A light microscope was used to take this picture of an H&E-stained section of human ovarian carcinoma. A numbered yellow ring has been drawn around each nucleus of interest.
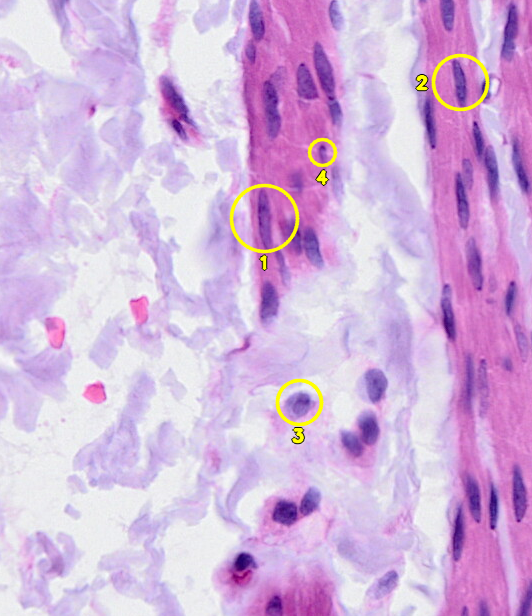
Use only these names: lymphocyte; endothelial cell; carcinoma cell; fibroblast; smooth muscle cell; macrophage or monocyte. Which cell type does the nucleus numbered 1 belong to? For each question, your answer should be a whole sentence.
The cell marked with the number 1 is a smooth muscle cell.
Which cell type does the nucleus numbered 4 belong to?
The cell tagged with 4 in this tissue section is a smooth muscle cell.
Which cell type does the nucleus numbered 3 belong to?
The cell identified by the number 3 is a fibroblast.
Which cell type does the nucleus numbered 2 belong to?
In the tissue shown, cell 2 is a smooth muscle cell.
